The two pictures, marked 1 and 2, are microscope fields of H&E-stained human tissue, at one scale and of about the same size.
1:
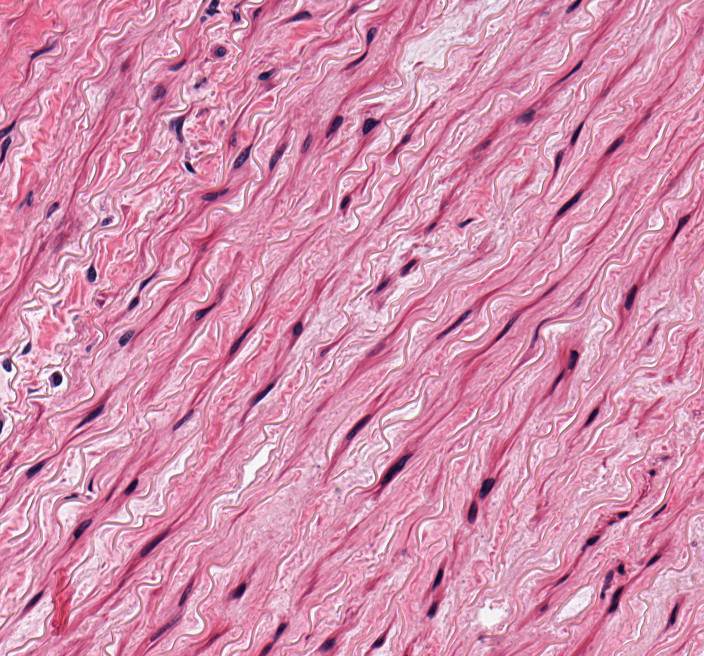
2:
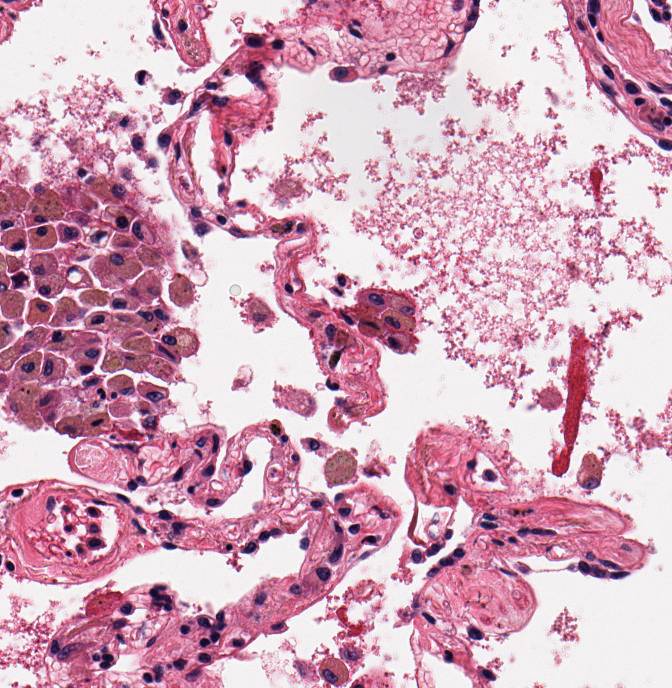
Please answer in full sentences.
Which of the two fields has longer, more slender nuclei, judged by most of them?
Longer, more slender nuclei lie in field 1.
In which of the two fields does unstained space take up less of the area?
It is field 1 that stained tissue fills more completely.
